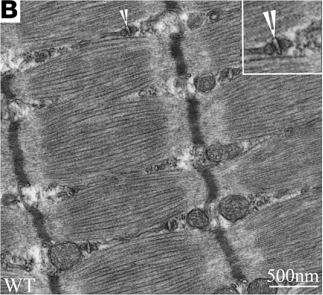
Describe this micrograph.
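Parallel myofibrils run diagonally across the field, crossed by dark, narrow Z-lines that lie in register from one myofibril to the next. Between the myofibrils, small round mitochondria sit in pairs near the Z-lines, and small membrane profiles lie at the edges of the dark bands. This is skeletal muscle with intact, aligned sarcomeres, and the small membrane profiles at the band junctions are triads.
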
